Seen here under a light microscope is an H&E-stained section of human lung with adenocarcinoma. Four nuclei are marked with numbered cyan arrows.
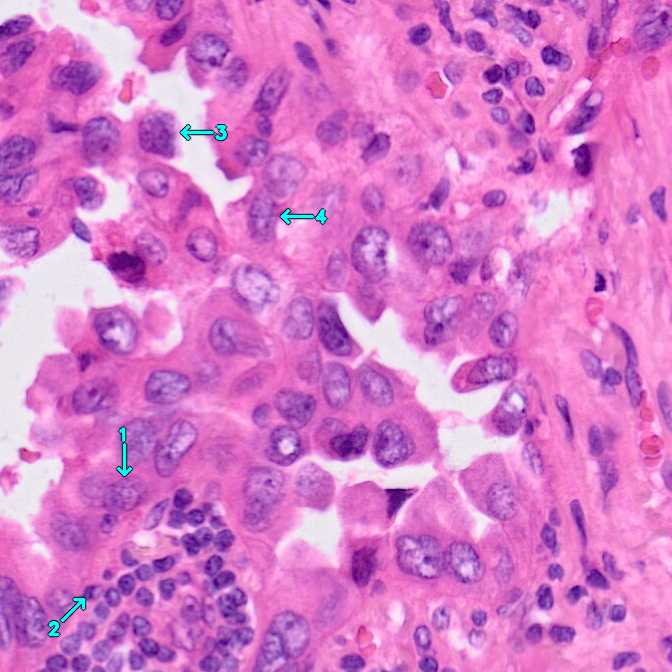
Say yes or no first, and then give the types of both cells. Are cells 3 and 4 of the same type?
Yes, both are carcinoma cells.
